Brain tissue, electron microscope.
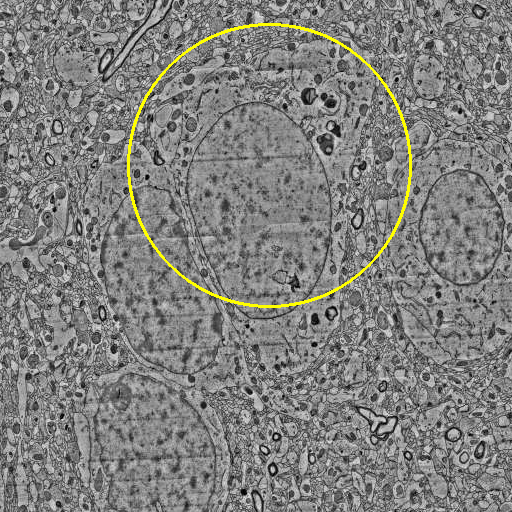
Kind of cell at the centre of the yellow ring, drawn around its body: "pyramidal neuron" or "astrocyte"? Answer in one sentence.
The ring's centre falls on a pyramidal neuron.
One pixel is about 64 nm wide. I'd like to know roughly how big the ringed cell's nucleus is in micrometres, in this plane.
Roughly 13 by 9 micrometres in this plane, for the nucleus of the ringed cell.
